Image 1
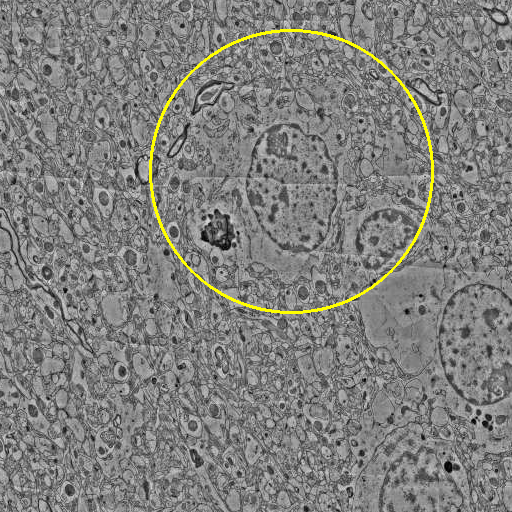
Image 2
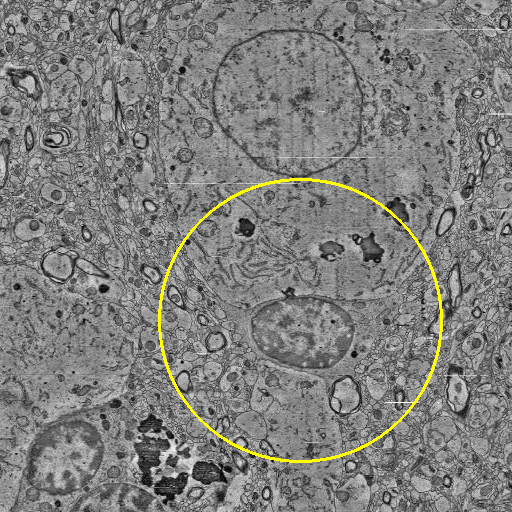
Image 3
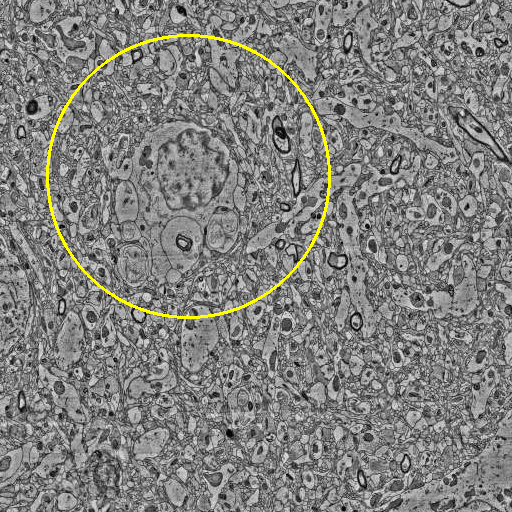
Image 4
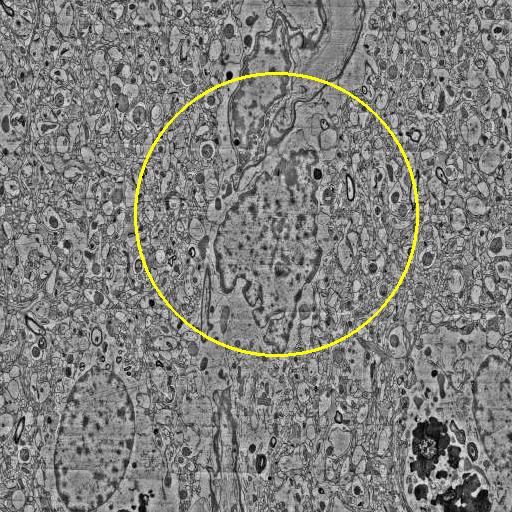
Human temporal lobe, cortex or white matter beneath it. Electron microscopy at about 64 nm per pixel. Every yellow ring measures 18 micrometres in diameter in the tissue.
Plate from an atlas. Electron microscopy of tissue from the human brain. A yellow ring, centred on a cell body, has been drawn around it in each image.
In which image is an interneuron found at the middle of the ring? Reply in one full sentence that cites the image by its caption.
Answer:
The requested cell is the one at the ring's centre in Image 3.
